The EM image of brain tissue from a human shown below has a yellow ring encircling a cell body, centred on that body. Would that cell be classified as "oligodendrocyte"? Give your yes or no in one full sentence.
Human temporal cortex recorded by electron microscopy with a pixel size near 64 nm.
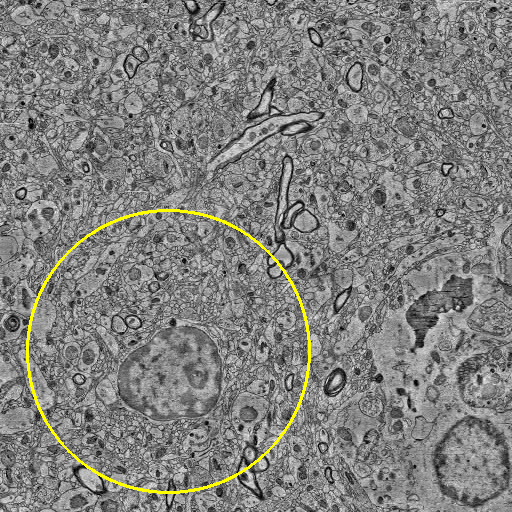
No, the cell at the centre of the ring in the picture falls in another class.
